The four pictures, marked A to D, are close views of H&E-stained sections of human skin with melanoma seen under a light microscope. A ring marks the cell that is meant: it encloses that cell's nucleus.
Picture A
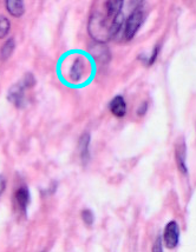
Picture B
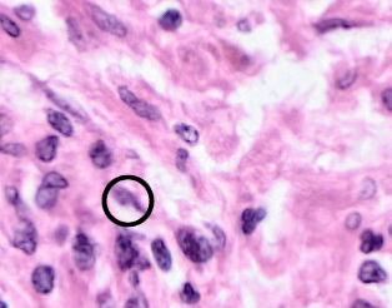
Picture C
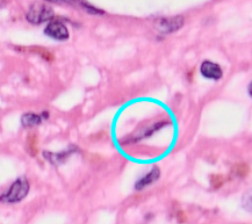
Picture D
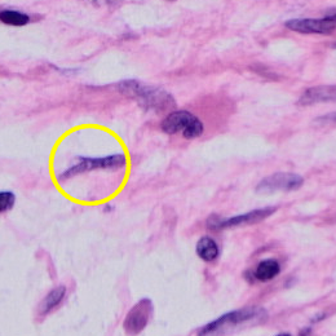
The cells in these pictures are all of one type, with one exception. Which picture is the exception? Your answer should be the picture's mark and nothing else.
A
